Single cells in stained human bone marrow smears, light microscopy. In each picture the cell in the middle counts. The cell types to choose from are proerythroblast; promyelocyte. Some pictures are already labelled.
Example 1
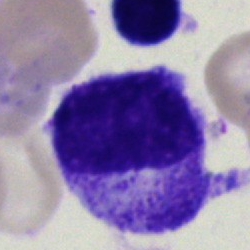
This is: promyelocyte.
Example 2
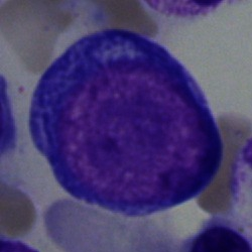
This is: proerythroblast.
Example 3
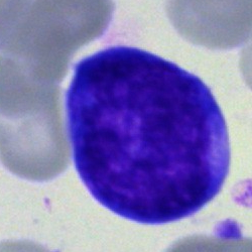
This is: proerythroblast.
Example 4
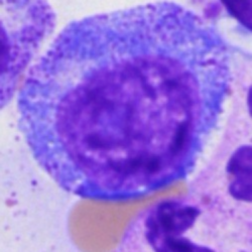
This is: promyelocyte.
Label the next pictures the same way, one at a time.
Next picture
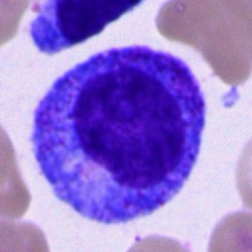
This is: promyelocyte.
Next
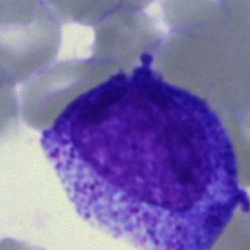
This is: promyelocyte.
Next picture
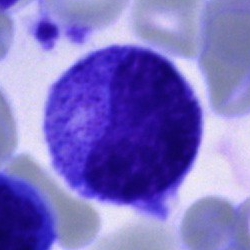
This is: promyelocyte.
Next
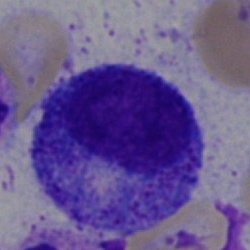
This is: promyelocyte.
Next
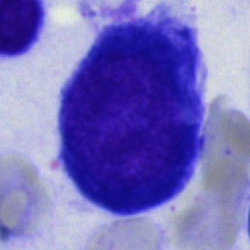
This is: proerythroblast.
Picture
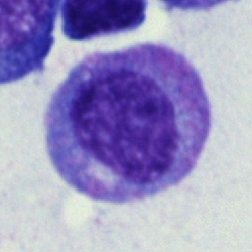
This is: promyelocyte.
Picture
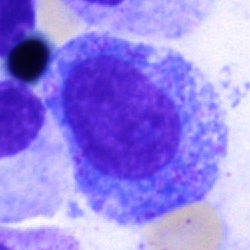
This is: promyelocyte.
